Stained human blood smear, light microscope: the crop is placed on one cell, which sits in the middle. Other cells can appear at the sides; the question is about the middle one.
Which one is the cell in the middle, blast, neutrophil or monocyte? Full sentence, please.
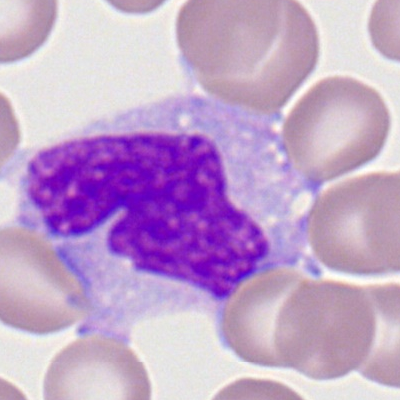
The center cell of this crop is a monocyte.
